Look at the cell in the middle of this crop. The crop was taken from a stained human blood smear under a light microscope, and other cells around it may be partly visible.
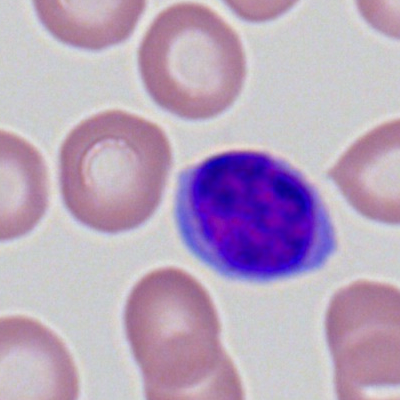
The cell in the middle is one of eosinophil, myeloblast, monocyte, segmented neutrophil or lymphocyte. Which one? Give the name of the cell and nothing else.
lymphocyte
